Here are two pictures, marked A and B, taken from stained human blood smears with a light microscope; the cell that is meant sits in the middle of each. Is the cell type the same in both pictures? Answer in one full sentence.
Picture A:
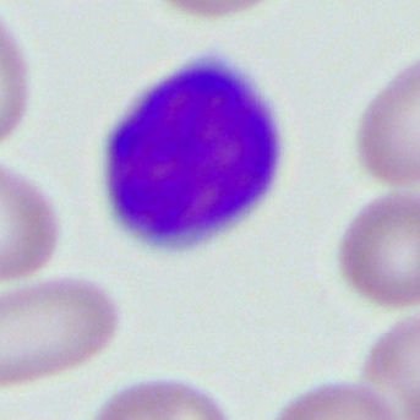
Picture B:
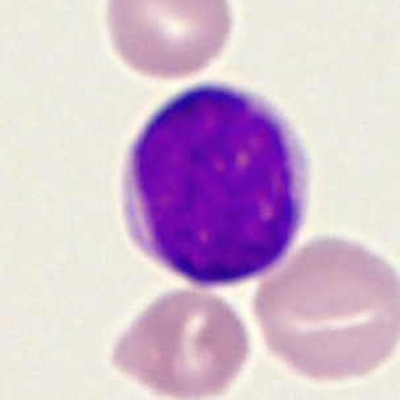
Yes, they are the same type: both are lymphocytes.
